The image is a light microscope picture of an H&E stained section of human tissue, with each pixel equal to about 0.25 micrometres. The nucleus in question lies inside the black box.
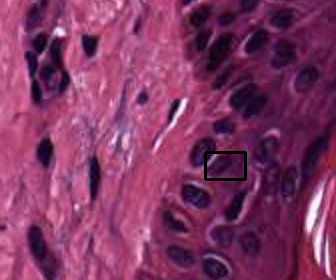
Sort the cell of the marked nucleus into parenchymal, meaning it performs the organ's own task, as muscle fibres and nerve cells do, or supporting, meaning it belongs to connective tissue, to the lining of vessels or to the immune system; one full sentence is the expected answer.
In this picture the marked nucleus belongs to a keratinocyte, a parenchymal cell.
